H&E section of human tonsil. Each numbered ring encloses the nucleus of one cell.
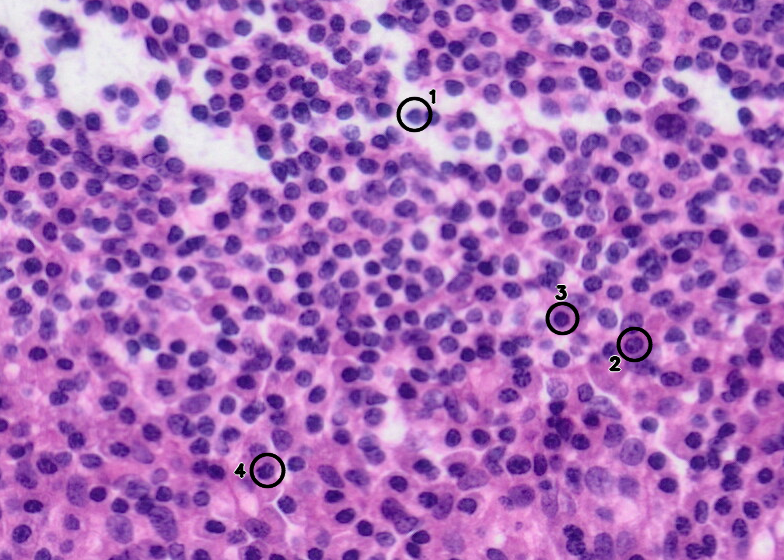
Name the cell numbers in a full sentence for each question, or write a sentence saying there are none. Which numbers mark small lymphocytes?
Only at number 1 is there a small lymphocyte.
